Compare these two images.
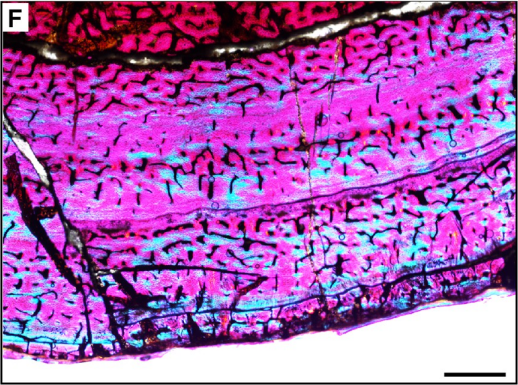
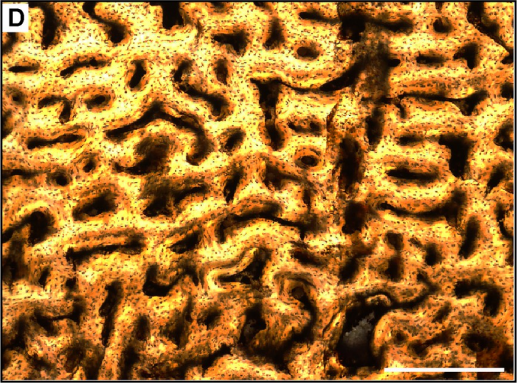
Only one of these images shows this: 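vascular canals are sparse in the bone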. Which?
The first image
